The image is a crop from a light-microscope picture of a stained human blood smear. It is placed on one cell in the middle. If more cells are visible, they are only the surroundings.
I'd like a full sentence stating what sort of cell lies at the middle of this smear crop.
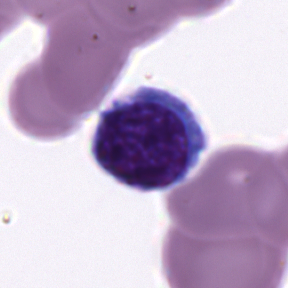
Here the centrally located cell is a plasma cell.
